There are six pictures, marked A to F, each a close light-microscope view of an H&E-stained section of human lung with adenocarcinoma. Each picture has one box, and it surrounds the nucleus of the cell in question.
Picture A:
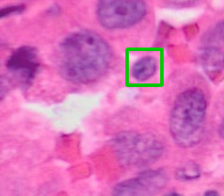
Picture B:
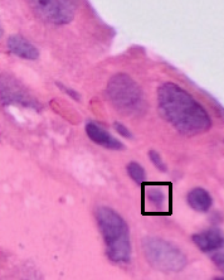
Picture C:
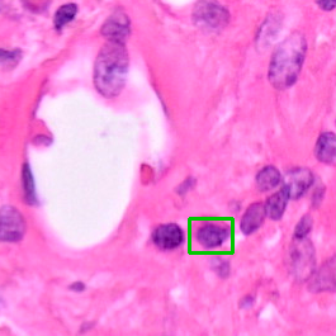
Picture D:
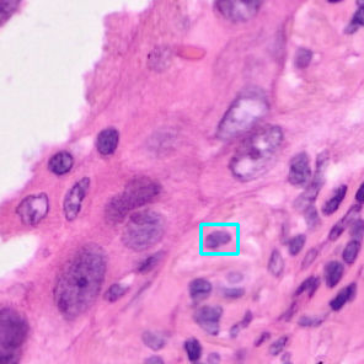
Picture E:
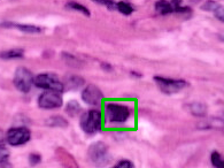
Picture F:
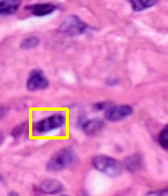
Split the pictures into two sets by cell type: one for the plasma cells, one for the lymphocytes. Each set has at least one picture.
A: lymphocyte
B: lymphocyte
C: plasma cell
D: lymphocyte
E: lymphocyte
F: plasma cell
